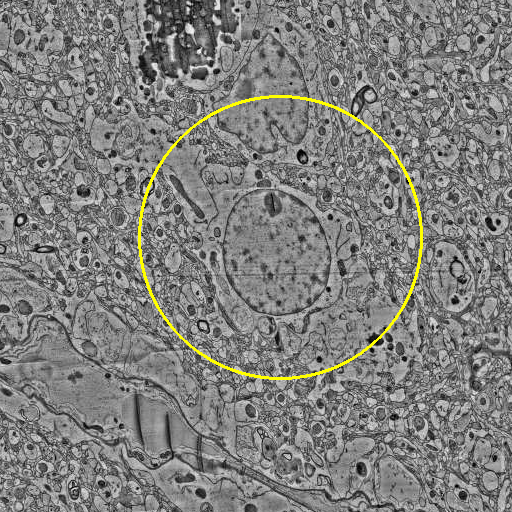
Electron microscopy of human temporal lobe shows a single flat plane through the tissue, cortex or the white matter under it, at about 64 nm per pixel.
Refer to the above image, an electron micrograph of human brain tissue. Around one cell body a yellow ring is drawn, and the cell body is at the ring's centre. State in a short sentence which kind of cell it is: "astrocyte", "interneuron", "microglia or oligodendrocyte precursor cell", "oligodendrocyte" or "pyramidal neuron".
The centre of the ring falls on an astrocyte.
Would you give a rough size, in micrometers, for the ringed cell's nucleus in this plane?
The nucleus comes to roughly 9 by 7 micrometres in this plane.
